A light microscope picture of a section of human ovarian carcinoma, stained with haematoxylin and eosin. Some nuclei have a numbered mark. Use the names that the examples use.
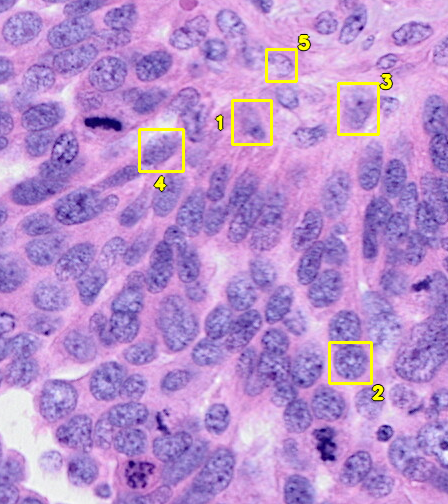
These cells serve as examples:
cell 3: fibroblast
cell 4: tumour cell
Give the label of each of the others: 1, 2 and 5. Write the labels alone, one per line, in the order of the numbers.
fibroblast
tumour cell
fibroblast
